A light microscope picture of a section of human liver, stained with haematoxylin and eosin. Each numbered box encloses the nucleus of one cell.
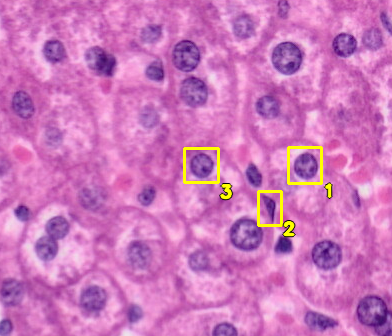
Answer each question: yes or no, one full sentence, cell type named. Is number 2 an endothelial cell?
Yes, it is an endothelial cell that number 2 identifies.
